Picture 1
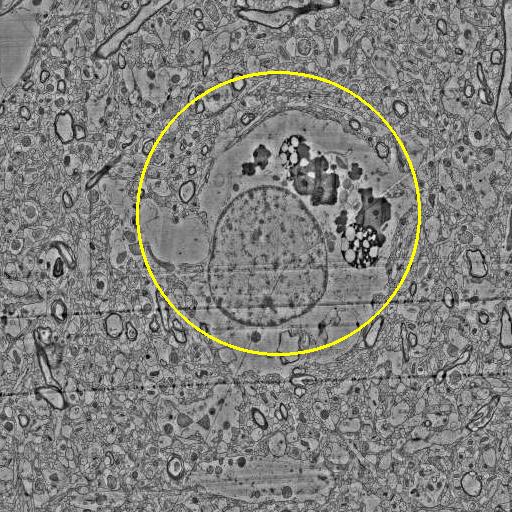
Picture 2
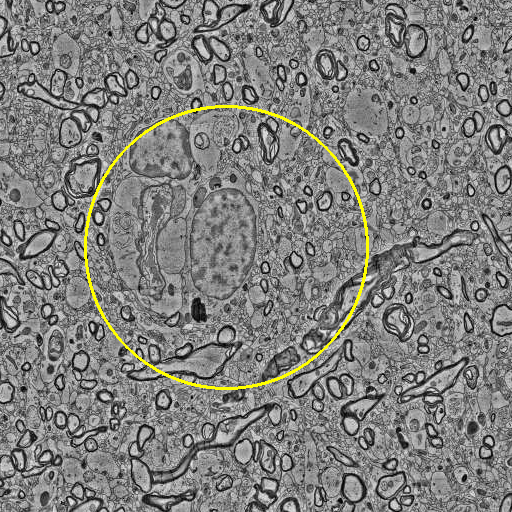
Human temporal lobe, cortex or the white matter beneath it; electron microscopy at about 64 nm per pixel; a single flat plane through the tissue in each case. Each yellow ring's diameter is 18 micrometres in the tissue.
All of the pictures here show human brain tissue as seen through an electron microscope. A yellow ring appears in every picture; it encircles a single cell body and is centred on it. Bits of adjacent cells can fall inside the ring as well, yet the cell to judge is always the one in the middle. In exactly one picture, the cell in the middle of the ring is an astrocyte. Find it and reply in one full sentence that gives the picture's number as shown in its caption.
Of all the pictures, picture 1 has the right cell at the centre of its ring.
